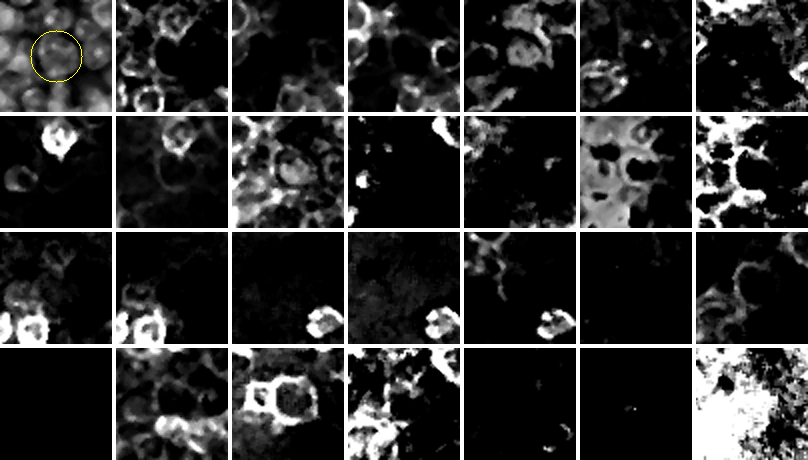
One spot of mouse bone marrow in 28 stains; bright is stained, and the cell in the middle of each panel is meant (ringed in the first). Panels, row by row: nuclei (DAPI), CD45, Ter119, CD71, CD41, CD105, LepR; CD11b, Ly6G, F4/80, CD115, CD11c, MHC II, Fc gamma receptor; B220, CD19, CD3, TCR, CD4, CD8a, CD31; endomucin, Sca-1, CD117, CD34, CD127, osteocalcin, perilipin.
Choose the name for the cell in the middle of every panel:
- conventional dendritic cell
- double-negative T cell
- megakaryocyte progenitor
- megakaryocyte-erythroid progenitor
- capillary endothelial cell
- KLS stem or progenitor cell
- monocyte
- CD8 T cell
KLS stem or progenitor cell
